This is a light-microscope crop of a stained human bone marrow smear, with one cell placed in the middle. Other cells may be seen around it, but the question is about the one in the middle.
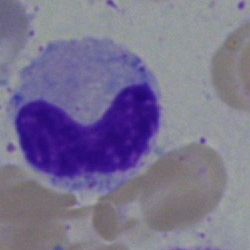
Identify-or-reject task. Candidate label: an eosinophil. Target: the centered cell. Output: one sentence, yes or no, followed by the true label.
No, the cell centered in the crop is a band neutrophil, not an eosinophil.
